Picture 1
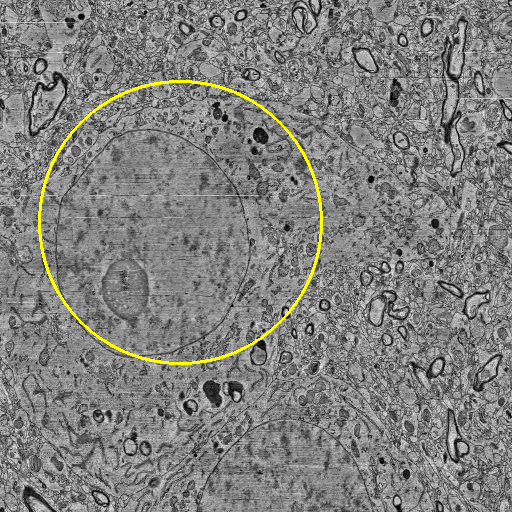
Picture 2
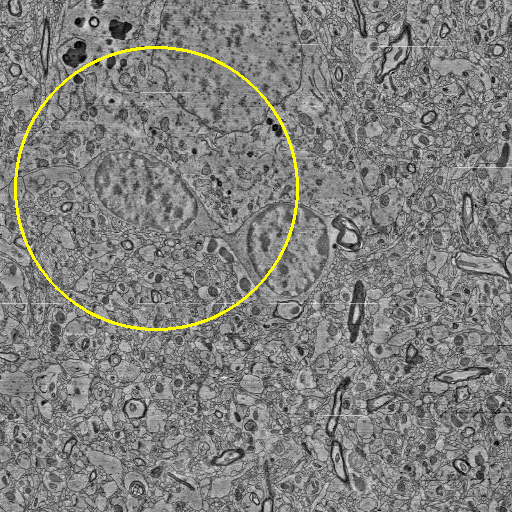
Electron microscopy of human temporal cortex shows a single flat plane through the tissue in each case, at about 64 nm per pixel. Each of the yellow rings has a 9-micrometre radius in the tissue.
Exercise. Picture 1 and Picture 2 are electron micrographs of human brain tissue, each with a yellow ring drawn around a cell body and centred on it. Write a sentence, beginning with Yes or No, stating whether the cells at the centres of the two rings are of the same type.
No, the cells at the centres of the rings are of two types.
